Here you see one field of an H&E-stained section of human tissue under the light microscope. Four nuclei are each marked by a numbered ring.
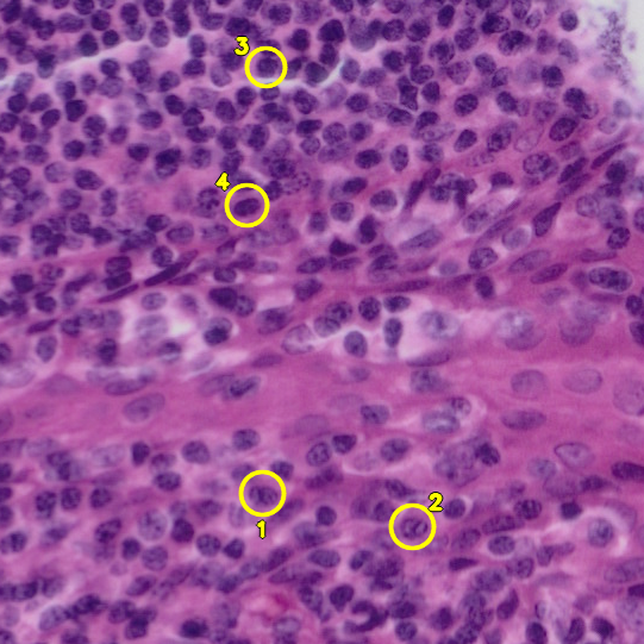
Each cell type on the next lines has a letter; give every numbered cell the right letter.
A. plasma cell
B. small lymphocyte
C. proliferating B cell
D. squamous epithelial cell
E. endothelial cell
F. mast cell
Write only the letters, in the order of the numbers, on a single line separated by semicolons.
A; A; B; A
